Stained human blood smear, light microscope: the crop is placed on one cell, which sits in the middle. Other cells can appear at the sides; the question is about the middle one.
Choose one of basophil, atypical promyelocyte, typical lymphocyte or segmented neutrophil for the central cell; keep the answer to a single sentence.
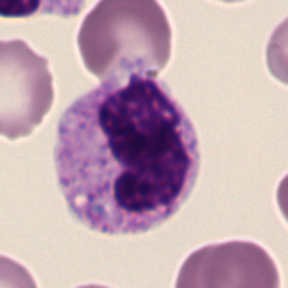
In the center of this field lies a segmented neutrophil.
